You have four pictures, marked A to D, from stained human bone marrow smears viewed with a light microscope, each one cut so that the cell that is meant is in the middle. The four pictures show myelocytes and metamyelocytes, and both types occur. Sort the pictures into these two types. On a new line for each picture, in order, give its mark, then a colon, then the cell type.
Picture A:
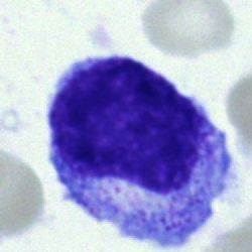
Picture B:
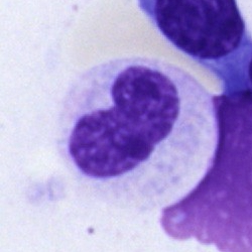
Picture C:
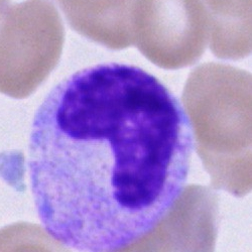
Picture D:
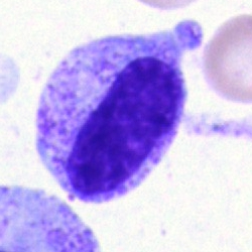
A: myelocyte
B: metamyelocyte
C: metamyelocyte
D: metamyelocyte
